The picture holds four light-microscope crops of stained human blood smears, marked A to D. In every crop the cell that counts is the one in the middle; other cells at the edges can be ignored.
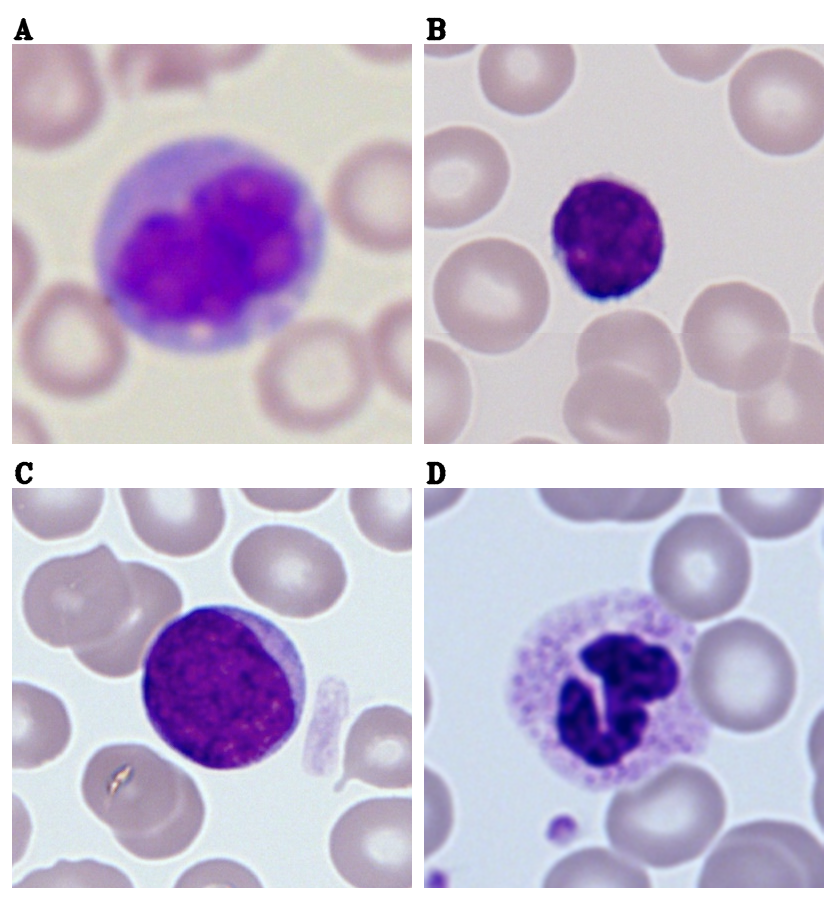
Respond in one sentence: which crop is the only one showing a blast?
Crop C is the crop that displays a blast.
